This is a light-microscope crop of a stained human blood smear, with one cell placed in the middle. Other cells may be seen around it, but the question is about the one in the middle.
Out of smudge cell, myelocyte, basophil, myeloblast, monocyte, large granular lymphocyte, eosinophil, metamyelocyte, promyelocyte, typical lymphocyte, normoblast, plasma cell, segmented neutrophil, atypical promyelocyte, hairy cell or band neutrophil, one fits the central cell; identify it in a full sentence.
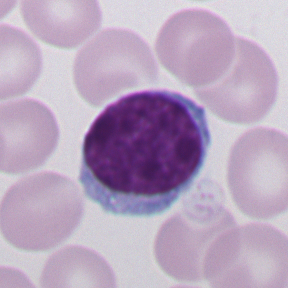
Among the cells in view, the one in the middle is a typical lymphocyte.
